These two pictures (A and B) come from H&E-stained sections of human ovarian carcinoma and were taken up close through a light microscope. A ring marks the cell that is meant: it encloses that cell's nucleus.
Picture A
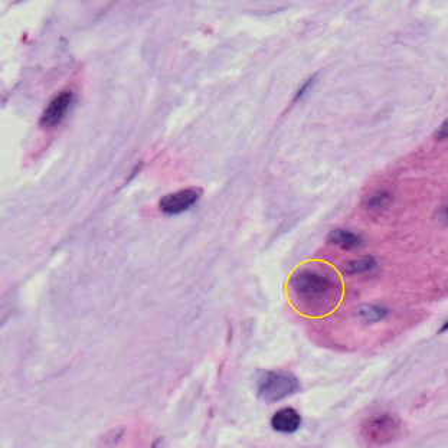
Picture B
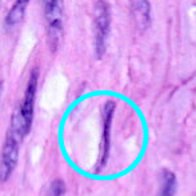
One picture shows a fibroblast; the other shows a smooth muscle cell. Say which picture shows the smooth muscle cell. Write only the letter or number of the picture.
A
